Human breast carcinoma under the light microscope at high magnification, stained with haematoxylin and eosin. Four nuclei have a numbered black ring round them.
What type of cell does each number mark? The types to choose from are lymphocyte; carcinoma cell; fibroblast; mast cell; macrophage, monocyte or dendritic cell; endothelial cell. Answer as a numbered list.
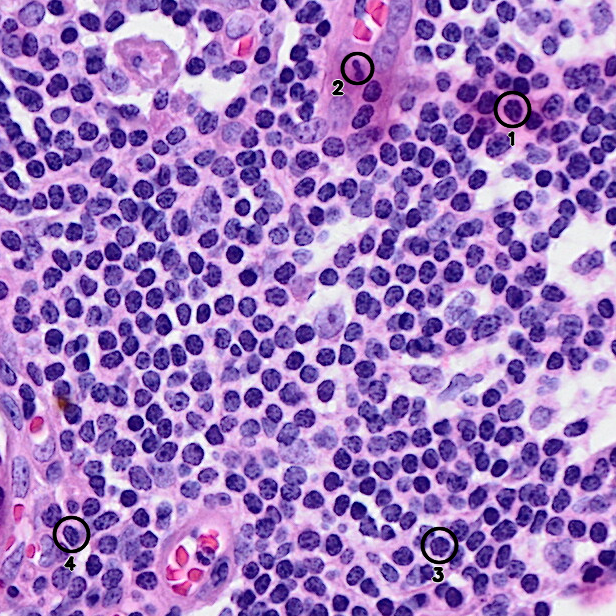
1. lymphocyte
2. endothelial cell
3. lymphocyte
4. lymphocyte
